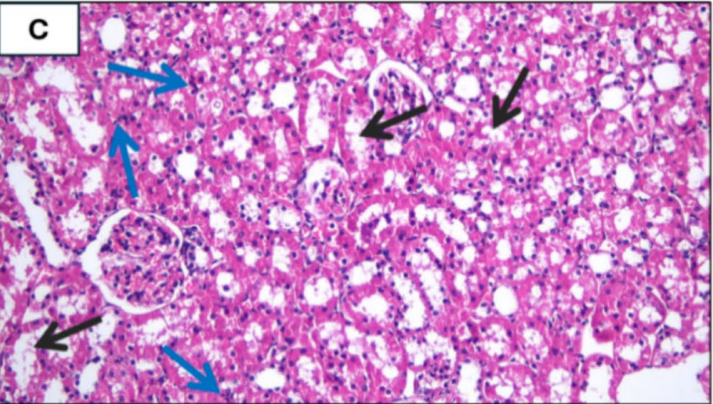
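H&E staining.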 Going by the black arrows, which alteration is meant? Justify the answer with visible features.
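Many tubules are lined by cells with clear, empty-looking vacuoles in their cytoplasm. Some tubular cells are pale and swollen, and some of their nuclei are small or missing. On this evidence: vacuolar degeneration and necrotic tubular epithelial cells.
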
